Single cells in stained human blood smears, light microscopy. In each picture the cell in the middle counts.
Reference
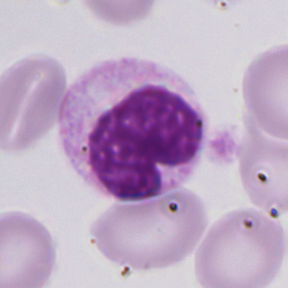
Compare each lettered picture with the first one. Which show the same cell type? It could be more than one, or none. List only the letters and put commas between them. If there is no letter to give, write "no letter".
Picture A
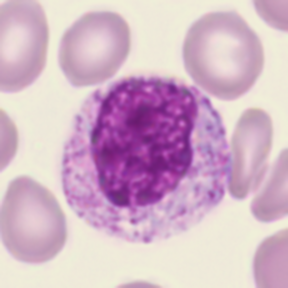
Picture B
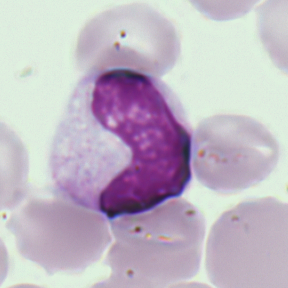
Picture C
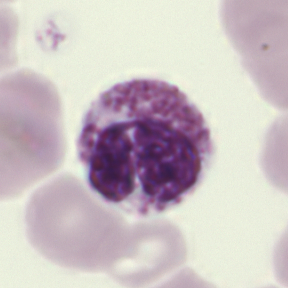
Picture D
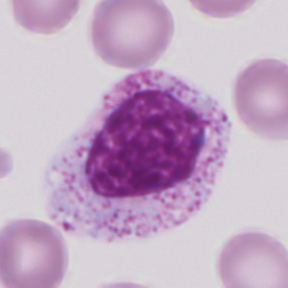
B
